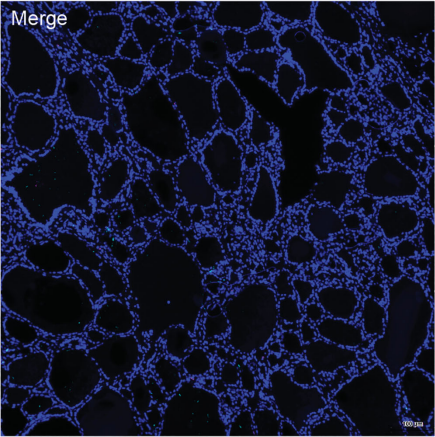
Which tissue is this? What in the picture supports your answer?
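Many rounded, closed spaces of varying size with dark, empty-looking centres. Each space is rimmed by a thin single row of blue nuclei. That points to this answer: thyroid tissue.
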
